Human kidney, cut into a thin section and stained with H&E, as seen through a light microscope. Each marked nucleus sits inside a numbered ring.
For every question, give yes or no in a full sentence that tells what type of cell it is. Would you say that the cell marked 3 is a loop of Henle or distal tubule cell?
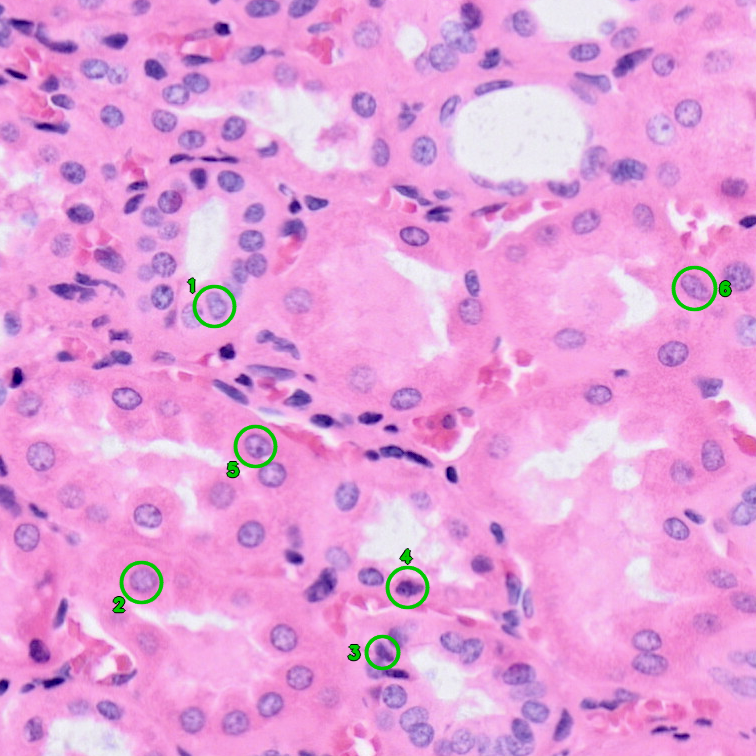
No, the cell tagged 3 is a collecting duct cell, and not a loop of Henle or distal tubule cell.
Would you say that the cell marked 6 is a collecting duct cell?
No, what number 6 shows is a proximal tubule cell, not a collecting duct cell.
